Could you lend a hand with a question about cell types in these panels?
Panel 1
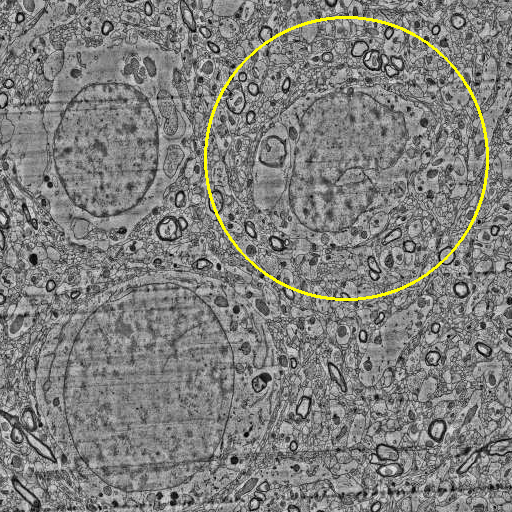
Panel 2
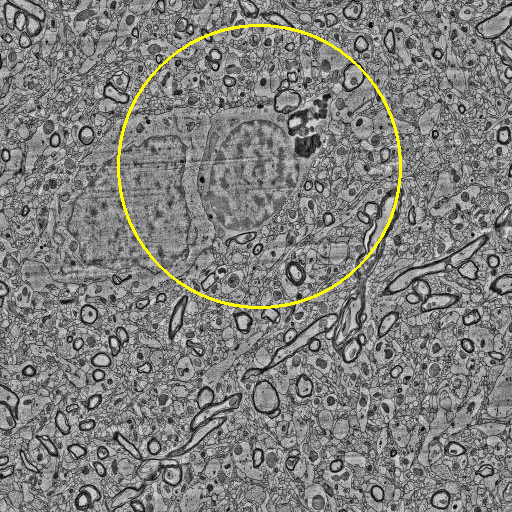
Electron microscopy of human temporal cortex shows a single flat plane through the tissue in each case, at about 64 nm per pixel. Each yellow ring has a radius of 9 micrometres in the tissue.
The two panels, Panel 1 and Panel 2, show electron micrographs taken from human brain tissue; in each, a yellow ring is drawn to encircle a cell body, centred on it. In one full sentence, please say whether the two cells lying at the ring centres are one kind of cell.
No, the cells at the ring centres in the two panels are two kinds of cell.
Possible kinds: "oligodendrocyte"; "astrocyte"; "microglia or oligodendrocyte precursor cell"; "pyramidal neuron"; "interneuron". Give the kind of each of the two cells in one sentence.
The cell in the second picture is an oligodendrocyte, and that in the first is an interneuron.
